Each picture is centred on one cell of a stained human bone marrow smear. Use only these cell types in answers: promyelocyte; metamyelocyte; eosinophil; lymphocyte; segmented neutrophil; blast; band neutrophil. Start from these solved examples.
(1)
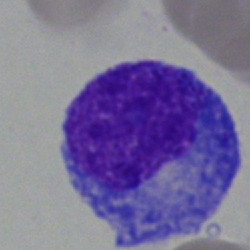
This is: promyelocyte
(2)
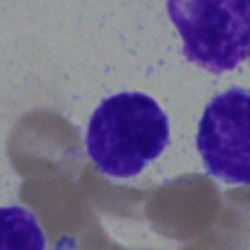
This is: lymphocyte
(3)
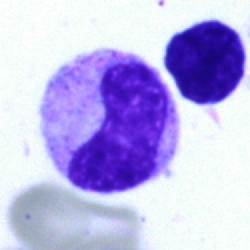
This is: band neutrophil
